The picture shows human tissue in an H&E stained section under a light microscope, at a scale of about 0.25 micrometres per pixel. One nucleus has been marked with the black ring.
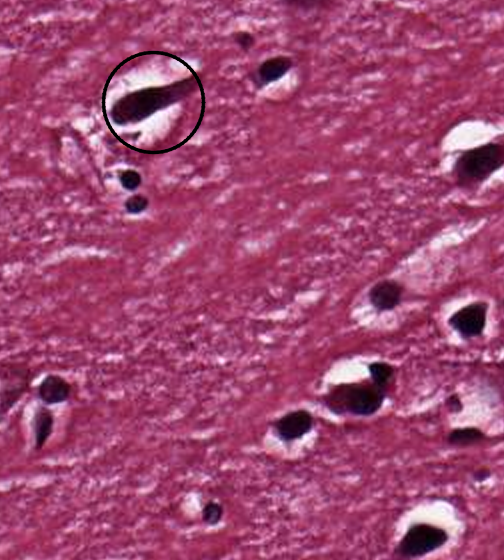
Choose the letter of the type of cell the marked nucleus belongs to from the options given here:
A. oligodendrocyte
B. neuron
B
